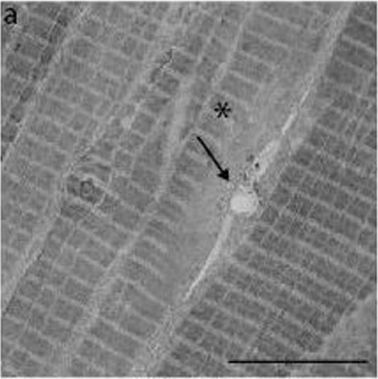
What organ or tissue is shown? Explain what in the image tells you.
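Muscle tissue. Long parallel fibres with regular cross-striations. Repeating bands in register across each fibre.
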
